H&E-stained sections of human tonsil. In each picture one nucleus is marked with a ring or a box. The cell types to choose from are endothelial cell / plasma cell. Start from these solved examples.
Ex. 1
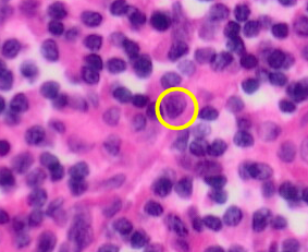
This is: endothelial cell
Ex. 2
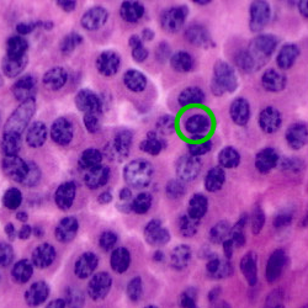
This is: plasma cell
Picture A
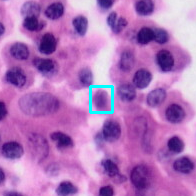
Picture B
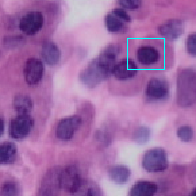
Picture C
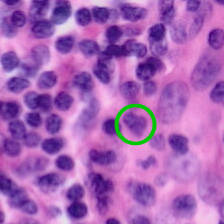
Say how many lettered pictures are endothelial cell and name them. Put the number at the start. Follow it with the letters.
1, namely C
